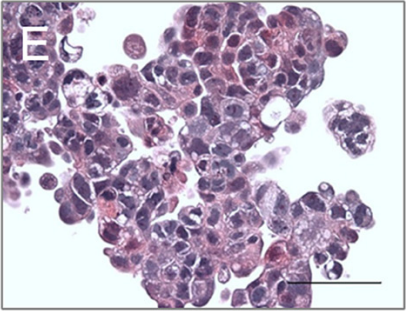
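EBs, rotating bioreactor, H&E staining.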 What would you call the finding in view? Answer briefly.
Polyhedral contours, large nuclei.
